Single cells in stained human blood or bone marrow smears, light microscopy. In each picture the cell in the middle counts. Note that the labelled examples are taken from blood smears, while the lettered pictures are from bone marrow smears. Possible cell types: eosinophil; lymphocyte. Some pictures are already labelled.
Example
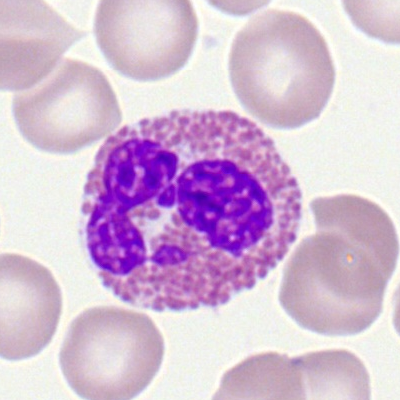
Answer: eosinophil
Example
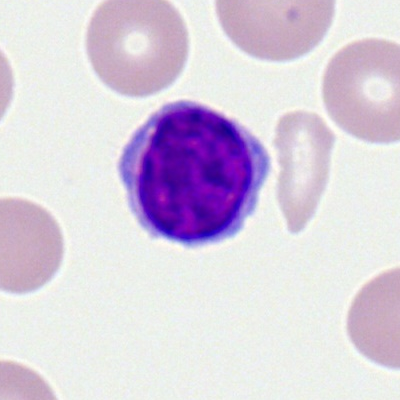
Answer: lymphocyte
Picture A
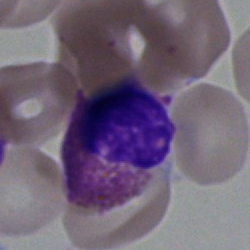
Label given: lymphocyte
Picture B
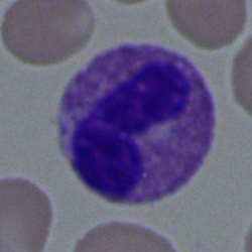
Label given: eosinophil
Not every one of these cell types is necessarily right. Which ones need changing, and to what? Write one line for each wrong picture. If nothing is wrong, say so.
A: eosinophil, not lymphocyte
